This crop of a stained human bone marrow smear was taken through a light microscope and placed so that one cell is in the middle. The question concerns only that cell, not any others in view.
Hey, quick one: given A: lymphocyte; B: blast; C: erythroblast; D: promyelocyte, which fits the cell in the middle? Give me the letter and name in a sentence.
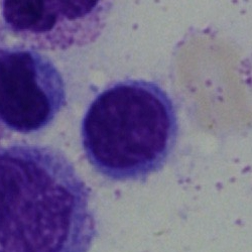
What option A states is correct, the central cell being a lymphocyte.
